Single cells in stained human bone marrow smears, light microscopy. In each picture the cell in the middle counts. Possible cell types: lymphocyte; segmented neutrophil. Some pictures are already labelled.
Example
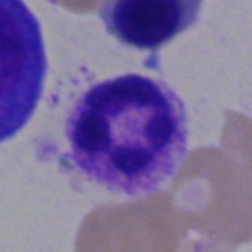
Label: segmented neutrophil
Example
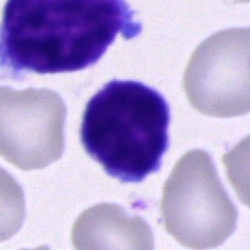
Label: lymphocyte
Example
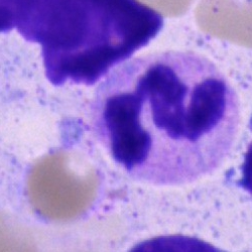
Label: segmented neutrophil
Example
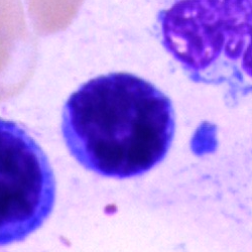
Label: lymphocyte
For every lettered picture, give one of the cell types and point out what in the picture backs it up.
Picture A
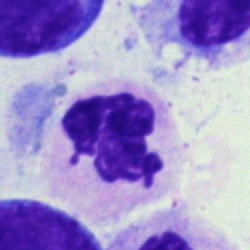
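Label: segmented neutrophil. The cytoplasm is abundant and pale pink.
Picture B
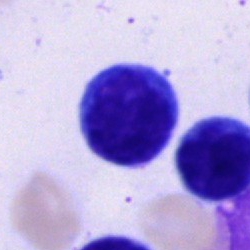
Label: lymphocyte. Cytoplasm is scant, at most a thin blue rim at the edge.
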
